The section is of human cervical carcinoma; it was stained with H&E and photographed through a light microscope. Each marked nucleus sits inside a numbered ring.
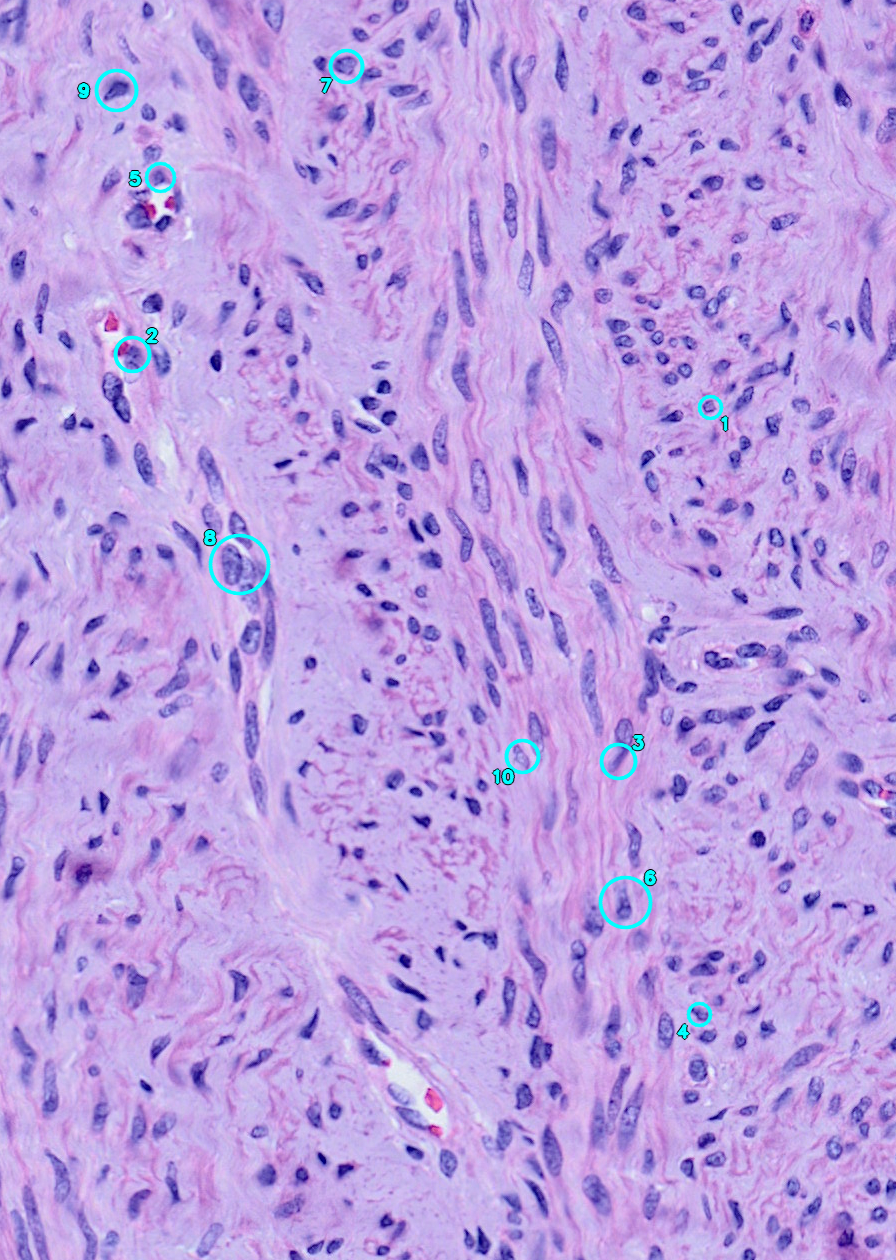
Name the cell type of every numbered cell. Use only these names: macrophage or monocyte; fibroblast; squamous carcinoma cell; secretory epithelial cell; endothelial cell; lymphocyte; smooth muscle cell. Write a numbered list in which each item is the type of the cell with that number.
1. smooth muscle cell
2. endothelial cell
3. smooth muscle cell
4. smooth muscle cell
5. endothelial cell
6. smooth muscle cell
7. smooth muscle cell
8. endothelial cell
9. fibroblast
10. smooth muscle cell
